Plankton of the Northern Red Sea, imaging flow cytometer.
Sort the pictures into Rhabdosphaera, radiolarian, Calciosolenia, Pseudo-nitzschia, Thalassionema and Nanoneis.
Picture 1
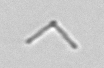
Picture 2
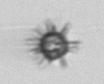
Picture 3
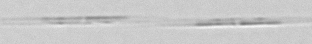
Nanoneis: 1
Rhabdosphaera: 2
Pseudo-nitzschia: 3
